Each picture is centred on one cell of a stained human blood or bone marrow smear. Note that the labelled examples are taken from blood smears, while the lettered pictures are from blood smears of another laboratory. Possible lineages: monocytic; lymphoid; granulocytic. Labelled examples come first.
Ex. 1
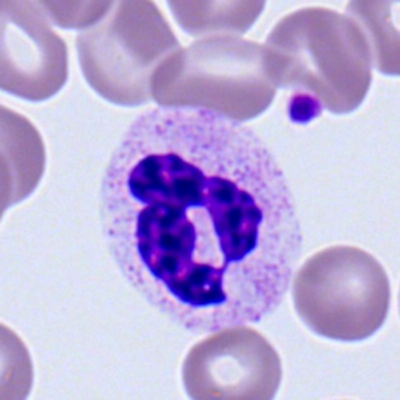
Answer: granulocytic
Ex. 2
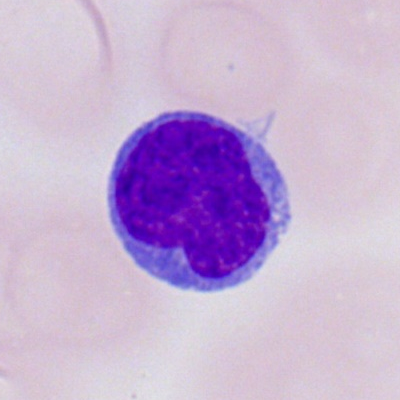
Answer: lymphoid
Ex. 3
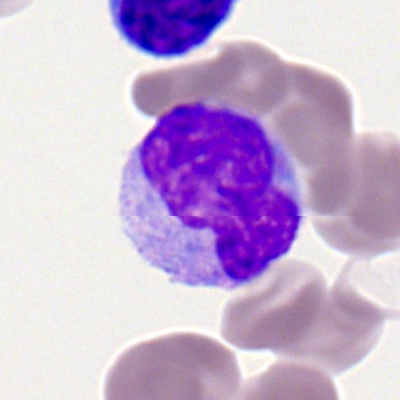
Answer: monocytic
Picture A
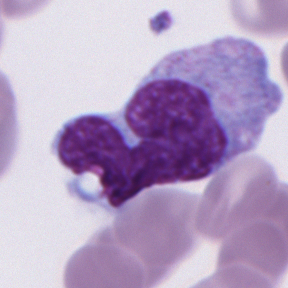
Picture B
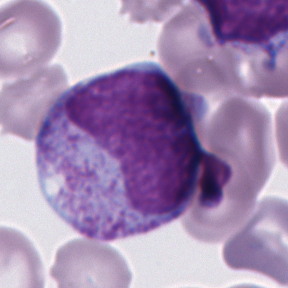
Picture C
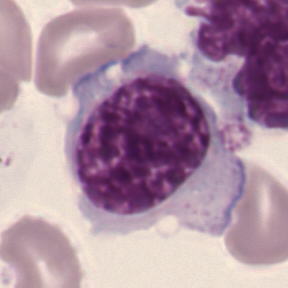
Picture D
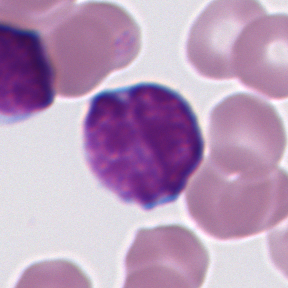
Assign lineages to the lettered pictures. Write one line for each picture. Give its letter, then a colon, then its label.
A: monocytic
B: granulocytic
C: lymphoid
D: lymphoid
